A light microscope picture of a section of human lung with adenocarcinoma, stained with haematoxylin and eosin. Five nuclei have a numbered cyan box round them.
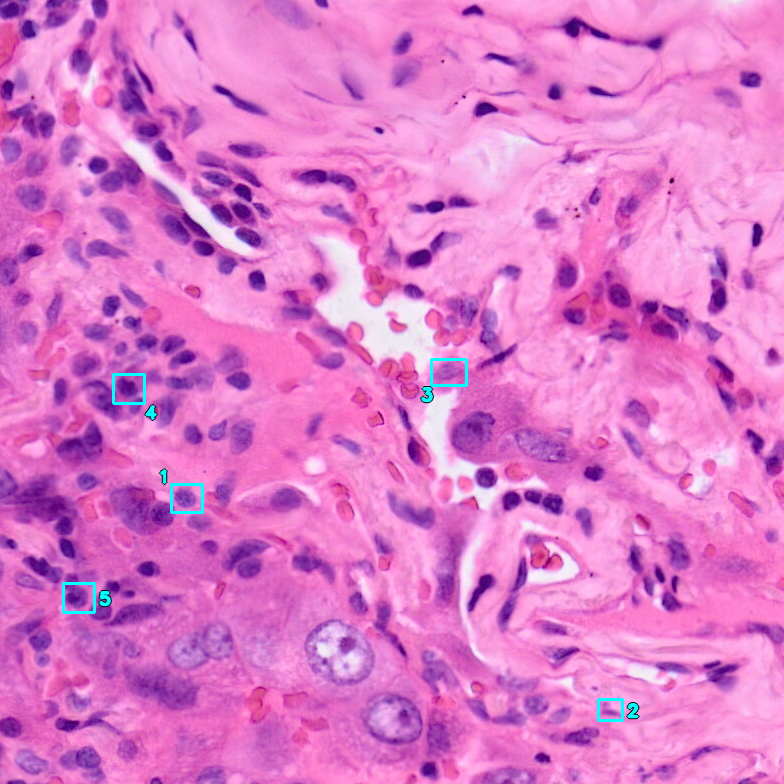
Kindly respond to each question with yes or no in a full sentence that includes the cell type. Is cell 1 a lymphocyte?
Yes, the one numbered 1 is a lymphocyte.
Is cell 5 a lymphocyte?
Yes, the cell with number 5 is a lymphocyte.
